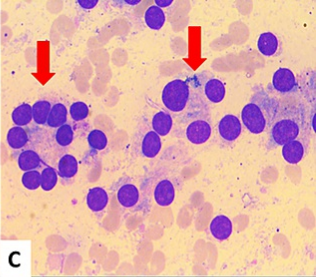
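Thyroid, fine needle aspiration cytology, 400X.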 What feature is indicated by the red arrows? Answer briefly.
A: Microfollicles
